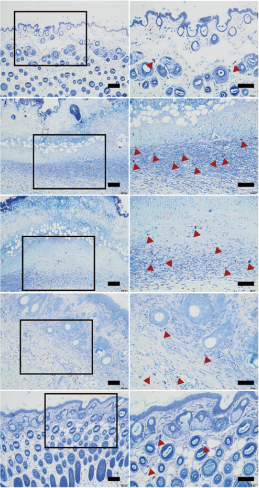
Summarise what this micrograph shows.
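The tissue is stained in shades of pale to deep blue. In several sections many round to oval profiles of hair follicles, cut in cross-section, fill the dermis beneath a thin surface layer. Small, darkly stained cells marked by red arrowheads are scattered through the dermal connective tissue. In some sections the dermis looks denser and more crowded with cells, and the marked cells are more numerous there, while hair follicle profiles are fewer.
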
